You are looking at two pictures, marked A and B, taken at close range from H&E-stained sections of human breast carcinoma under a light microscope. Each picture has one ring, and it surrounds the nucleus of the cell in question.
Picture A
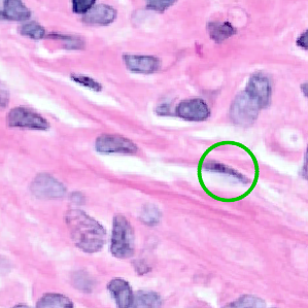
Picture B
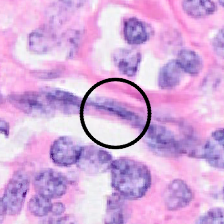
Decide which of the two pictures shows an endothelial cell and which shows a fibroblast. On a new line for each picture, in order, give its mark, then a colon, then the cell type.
A: fibroblast
B: endothelial cell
